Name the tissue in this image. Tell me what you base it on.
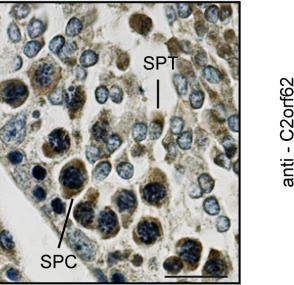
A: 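Densely packed round germ cells at several sizes. Large cells with thread-like chromatin beside smaller round cells. On this evidence: testis.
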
